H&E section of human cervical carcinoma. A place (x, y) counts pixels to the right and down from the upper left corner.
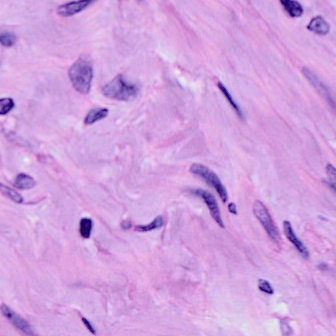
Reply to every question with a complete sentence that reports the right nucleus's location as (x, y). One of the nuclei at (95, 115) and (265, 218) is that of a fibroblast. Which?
The nucleus at (95, 115) is assigned to a fibroblast.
